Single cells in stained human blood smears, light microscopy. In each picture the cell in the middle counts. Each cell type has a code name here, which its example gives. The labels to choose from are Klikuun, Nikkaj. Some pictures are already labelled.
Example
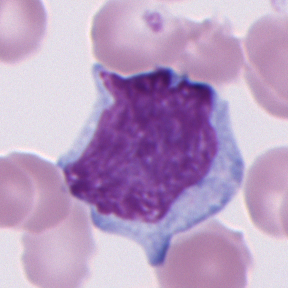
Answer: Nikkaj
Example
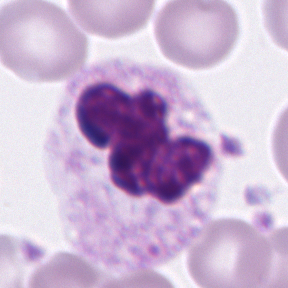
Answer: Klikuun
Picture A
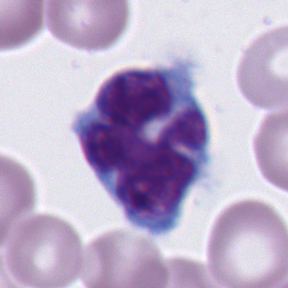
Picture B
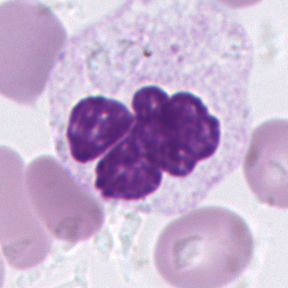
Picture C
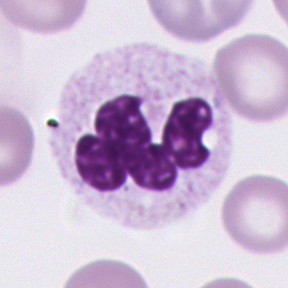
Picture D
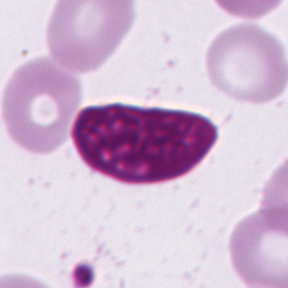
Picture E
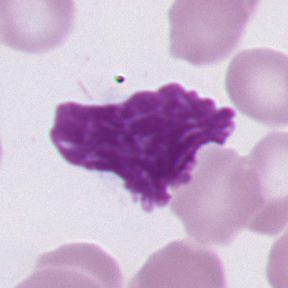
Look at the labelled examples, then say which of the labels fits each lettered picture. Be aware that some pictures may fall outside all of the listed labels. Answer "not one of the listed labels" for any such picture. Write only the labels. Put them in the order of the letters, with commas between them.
Nikkaj, Klikuun, Klikuun, not one of the listed labels, not one of the listed labels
